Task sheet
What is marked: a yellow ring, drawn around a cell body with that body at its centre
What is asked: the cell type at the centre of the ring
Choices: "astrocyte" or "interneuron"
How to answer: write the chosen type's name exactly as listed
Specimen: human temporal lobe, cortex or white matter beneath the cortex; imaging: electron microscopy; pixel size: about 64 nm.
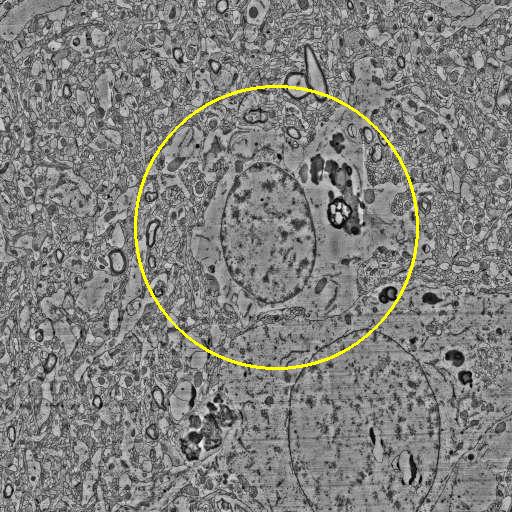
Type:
astrocyte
